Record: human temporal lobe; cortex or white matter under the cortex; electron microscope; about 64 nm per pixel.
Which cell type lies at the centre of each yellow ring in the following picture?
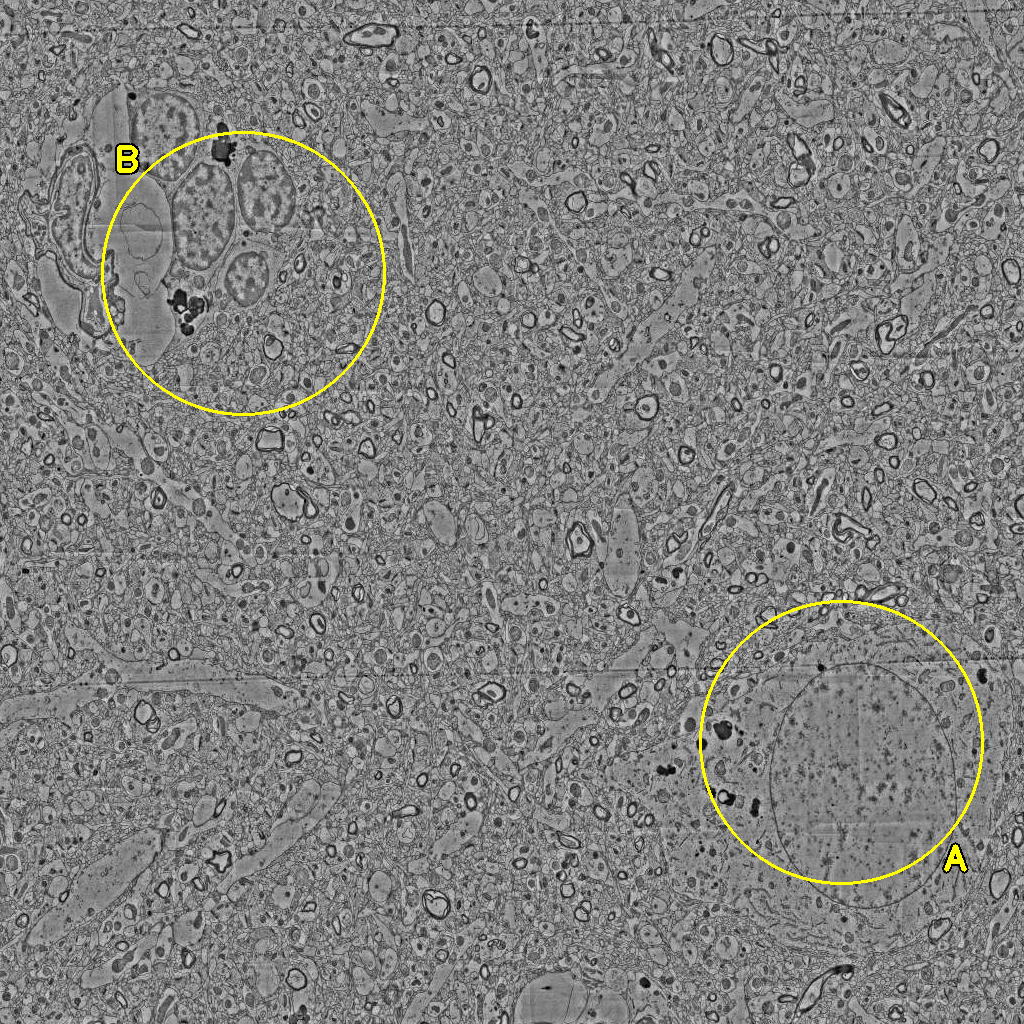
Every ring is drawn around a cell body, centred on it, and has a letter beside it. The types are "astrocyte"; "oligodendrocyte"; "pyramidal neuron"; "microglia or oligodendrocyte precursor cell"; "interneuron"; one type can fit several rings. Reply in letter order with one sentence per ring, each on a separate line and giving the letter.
Ring A marks the cell body of a pyramidal neuron.
Ring B marks the cell body of an oligodendrocyte.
